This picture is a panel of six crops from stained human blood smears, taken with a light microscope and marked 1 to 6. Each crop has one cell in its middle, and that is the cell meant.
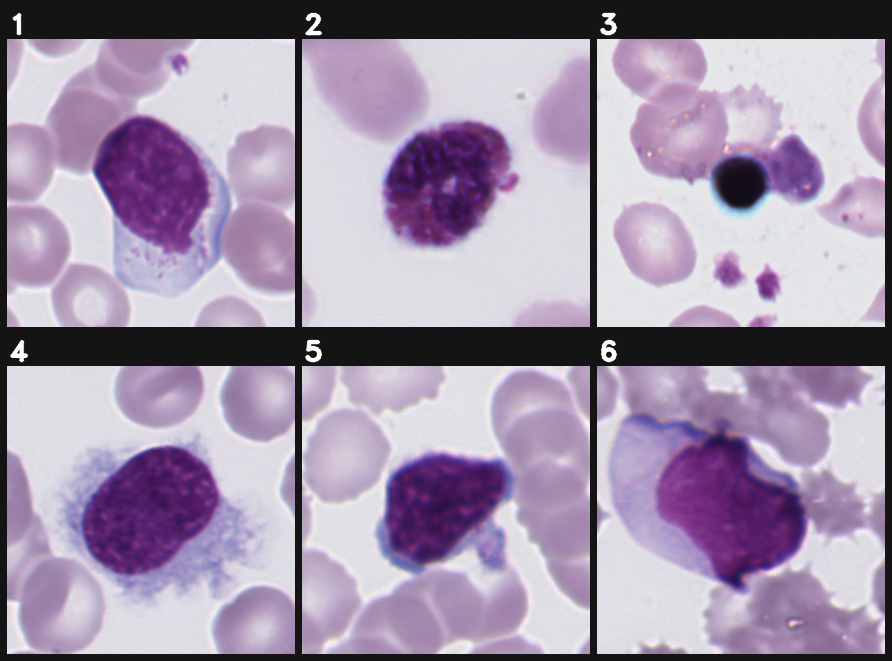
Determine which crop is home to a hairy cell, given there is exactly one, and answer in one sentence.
The crop with a hairy cell at its center is crop 4.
